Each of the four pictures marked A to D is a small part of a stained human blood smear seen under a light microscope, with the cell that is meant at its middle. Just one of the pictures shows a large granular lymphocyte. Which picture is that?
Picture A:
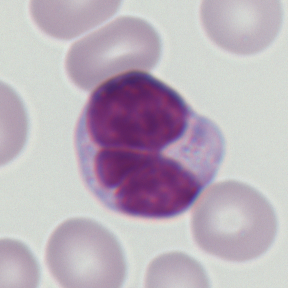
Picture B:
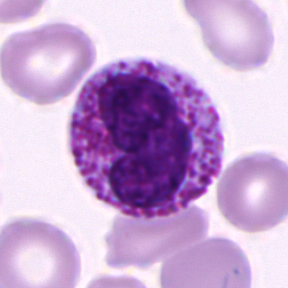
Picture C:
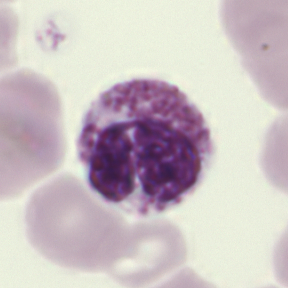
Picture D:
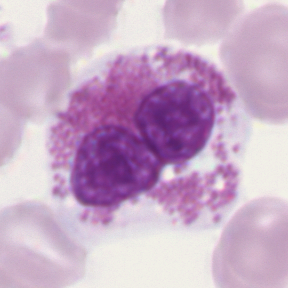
A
